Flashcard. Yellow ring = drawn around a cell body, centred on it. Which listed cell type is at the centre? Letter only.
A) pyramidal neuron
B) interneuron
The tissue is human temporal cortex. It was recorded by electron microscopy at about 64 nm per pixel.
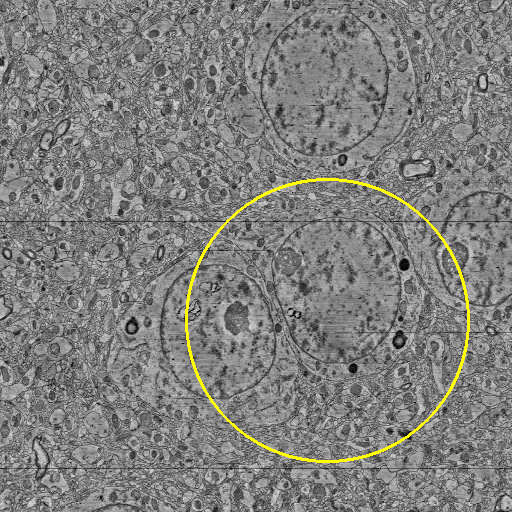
A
